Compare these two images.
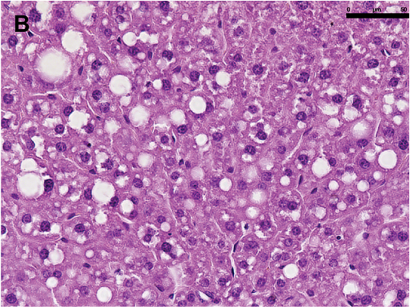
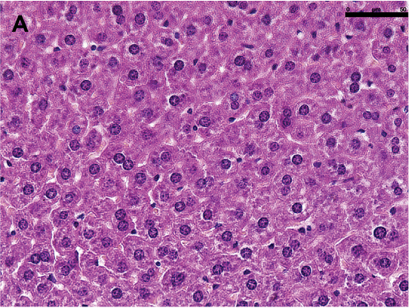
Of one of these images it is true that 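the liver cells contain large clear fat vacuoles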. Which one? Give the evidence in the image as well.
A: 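First image: many large round clear vacuoles in hepatocytes. Second image: hepatocytes have uniform pink cytoplasm without vacuoles. On this evidence: the first image.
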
